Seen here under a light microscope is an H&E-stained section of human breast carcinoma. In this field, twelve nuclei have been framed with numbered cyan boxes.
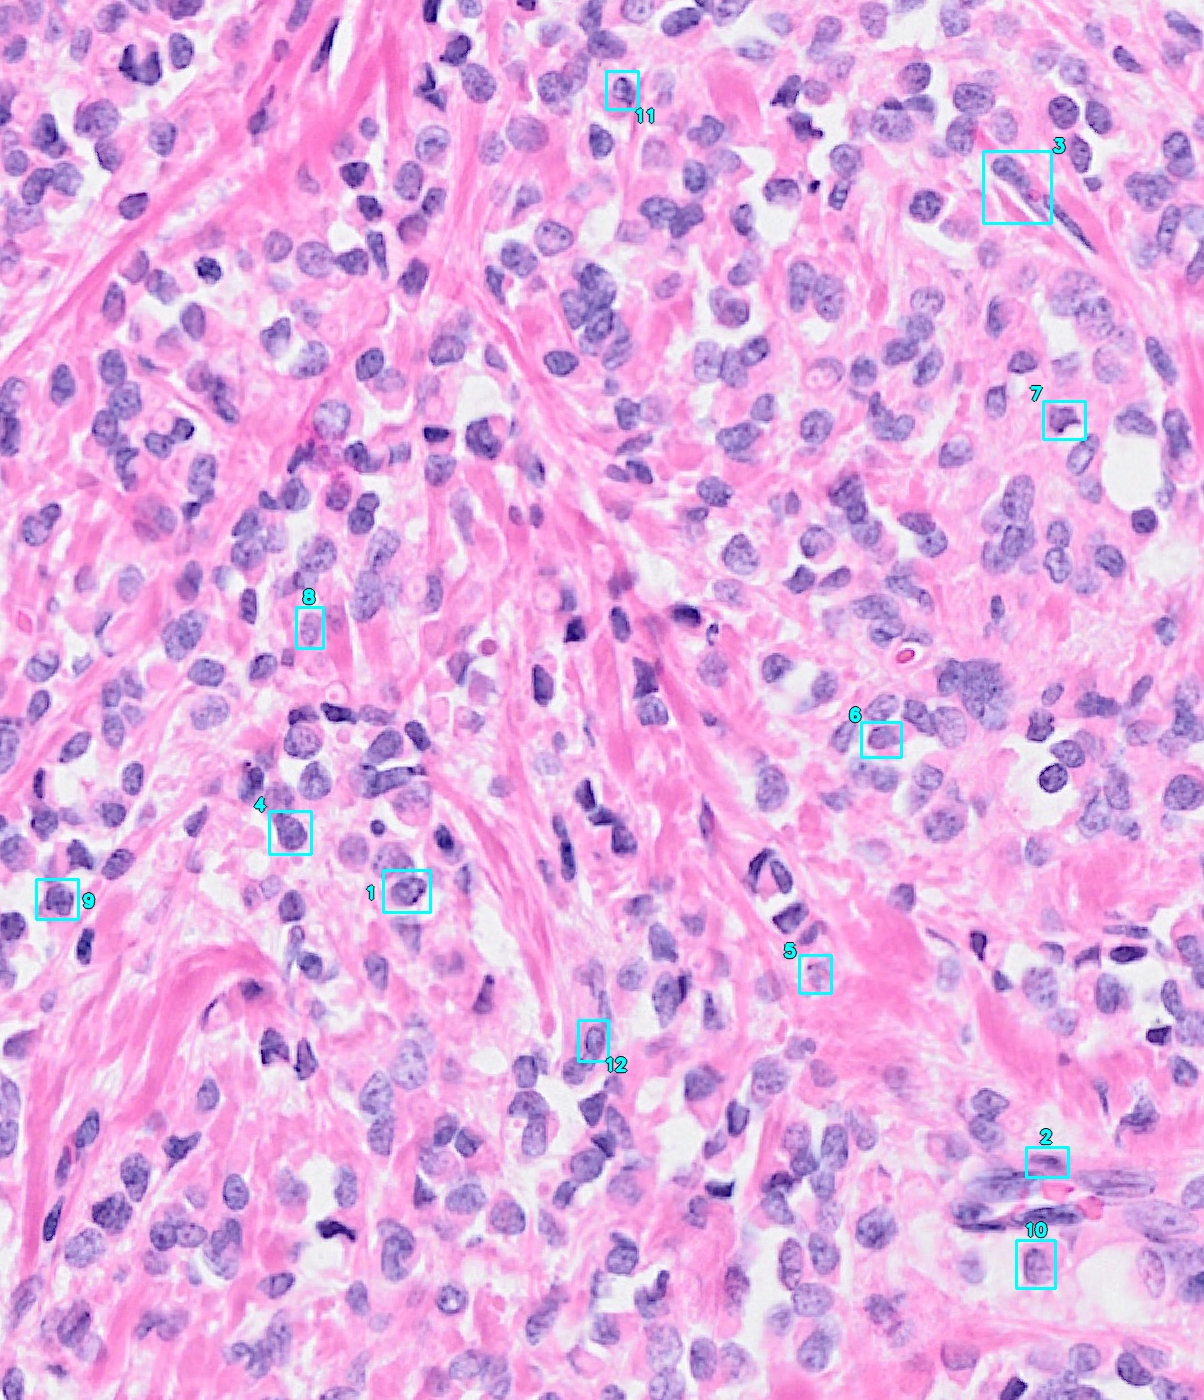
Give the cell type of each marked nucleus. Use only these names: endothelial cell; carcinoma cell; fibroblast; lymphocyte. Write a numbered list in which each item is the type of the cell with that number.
1. carcinoma cell
2. endothelial cell
3. endothelial cell
4. carcinoma cell
5. fibroblast
6. carcinoma cell
7. carcinoma cell
8. carcinoma cell
9. carcinoma cell
10. carcinoma cell
11. endothelial cell
12. endothelial cell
